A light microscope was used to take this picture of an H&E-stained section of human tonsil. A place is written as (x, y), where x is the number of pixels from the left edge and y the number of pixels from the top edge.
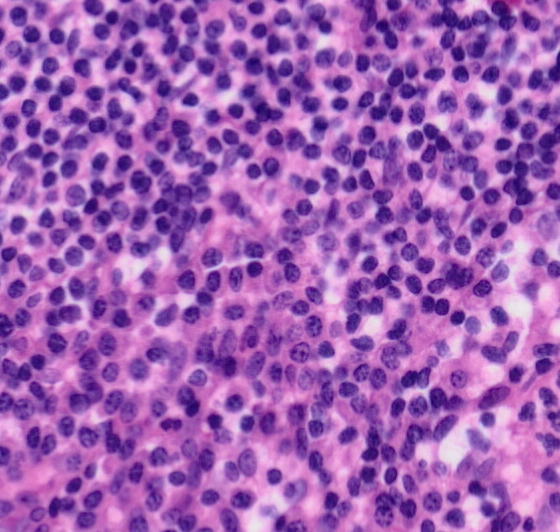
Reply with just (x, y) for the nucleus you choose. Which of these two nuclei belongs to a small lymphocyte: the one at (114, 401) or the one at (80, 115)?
(80, 115)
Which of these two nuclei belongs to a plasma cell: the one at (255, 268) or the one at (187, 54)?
(255, 268)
